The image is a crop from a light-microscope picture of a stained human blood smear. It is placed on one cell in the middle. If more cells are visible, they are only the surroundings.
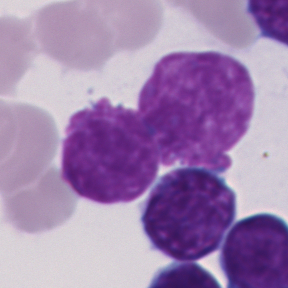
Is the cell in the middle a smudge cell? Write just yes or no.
no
